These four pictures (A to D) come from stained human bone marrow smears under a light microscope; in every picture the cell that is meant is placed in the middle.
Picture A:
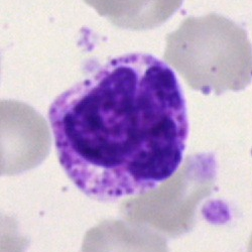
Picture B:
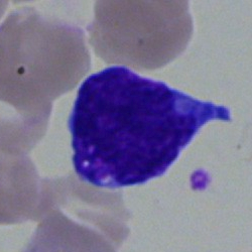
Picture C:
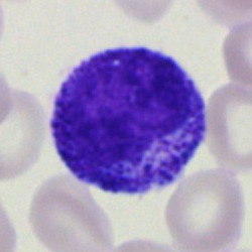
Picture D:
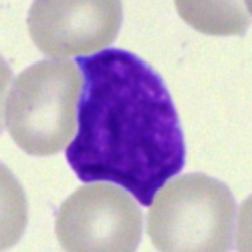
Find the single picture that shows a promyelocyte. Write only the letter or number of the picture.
C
